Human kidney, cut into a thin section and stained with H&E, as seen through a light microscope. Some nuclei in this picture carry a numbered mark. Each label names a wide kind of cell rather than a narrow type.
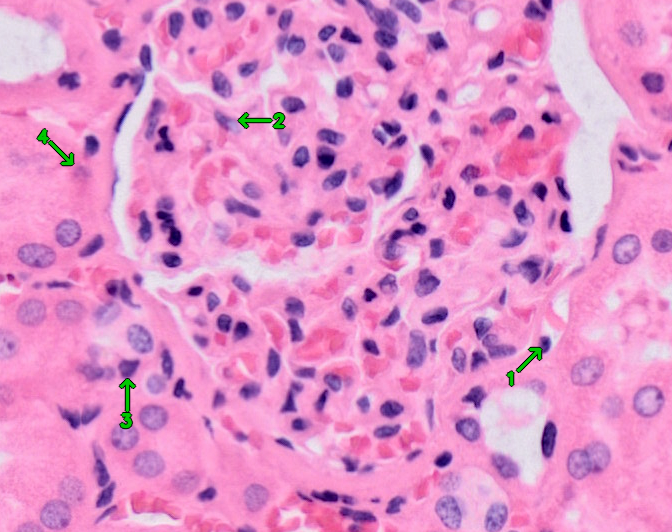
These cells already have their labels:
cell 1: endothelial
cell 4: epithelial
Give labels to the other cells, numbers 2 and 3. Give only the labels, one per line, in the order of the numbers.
endothelial
epithelial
